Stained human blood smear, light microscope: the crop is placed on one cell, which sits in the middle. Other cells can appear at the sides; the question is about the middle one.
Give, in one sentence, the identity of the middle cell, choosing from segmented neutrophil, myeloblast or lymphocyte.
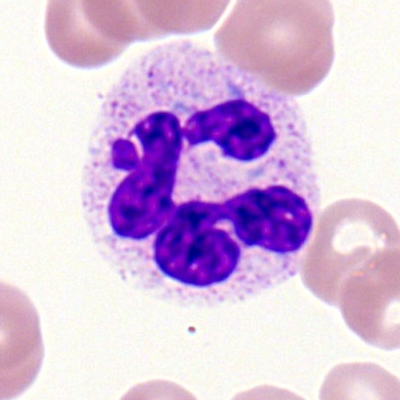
The cell the crop is centered on is a segmented neutrophil.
